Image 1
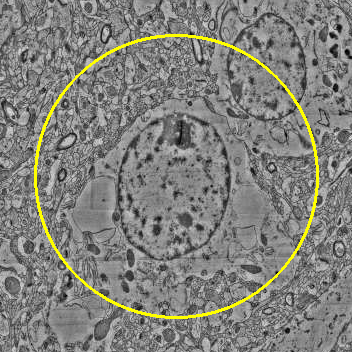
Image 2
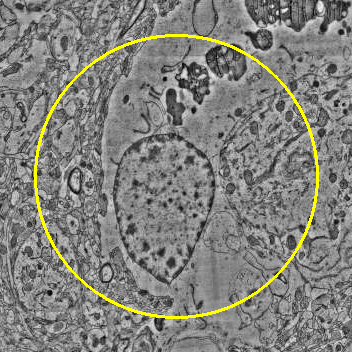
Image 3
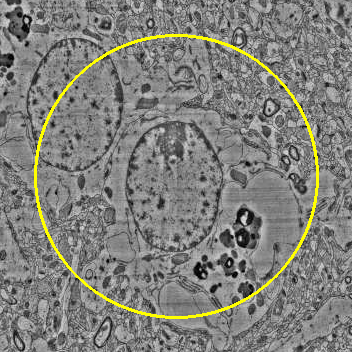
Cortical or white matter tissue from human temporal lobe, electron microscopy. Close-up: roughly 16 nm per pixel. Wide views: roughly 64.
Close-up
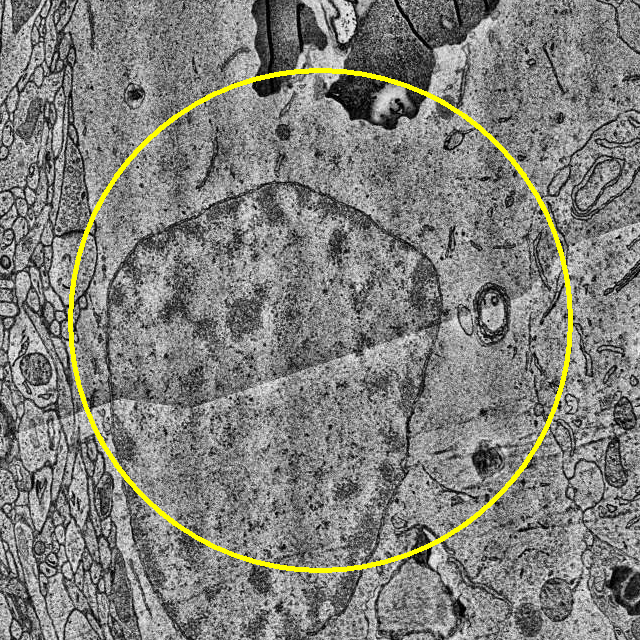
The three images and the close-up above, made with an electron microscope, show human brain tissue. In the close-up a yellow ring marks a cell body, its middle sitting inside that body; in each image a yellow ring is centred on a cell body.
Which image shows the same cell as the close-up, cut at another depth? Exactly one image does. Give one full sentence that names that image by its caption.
The cell in the zoomed view is the one circled in Image 2.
